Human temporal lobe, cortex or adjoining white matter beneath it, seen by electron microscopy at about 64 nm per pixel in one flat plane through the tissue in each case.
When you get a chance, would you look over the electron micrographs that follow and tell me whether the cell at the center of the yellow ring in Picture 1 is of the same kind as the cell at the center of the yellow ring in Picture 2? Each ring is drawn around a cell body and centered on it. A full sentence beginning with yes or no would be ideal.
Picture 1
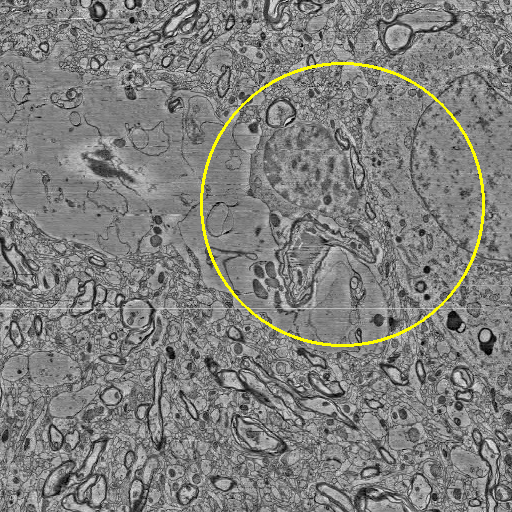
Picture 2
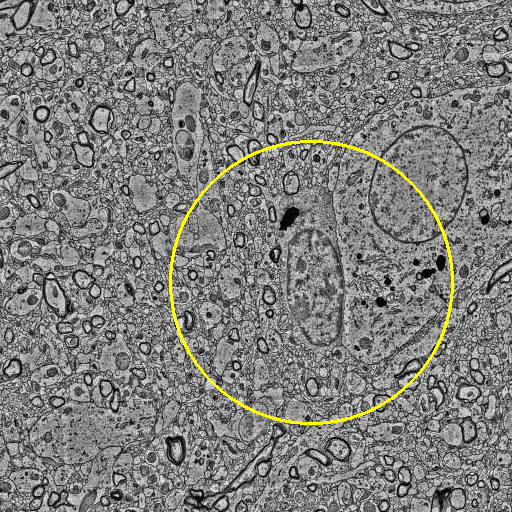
Yes, the two cells are of the same kind.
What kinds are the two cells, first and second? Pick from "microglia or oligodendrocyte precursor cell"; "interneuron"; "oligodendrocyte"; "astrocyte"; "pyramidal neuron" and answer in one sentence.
In each of the two pictures, the ringed cell is an oligodendrocyte.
